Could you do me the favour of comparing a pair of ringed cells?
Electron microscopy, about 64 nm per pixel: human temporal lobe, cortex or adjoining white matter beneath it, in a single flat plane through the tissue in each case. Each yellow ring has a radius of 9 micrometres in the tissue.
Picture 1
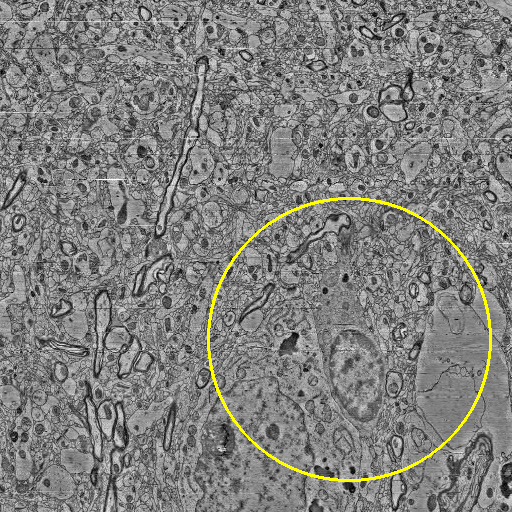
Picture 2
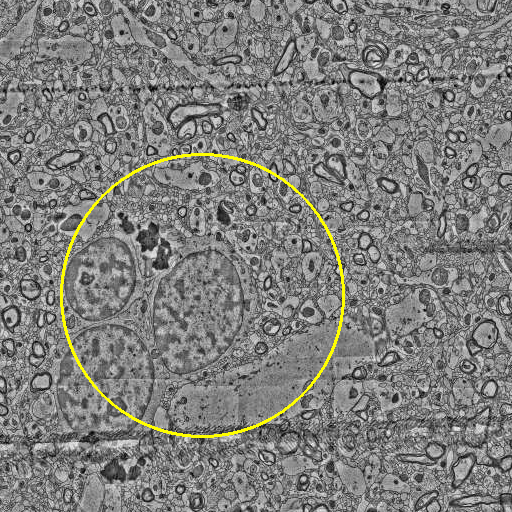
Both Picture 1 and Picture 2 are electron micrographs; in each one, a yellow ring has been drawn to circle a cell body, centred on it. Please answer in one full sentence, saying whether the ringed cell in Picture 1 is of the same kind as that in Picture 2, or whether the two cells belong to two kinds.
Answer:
The ringed cell in Picture 1 is of the same kind as that in Picture 2.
